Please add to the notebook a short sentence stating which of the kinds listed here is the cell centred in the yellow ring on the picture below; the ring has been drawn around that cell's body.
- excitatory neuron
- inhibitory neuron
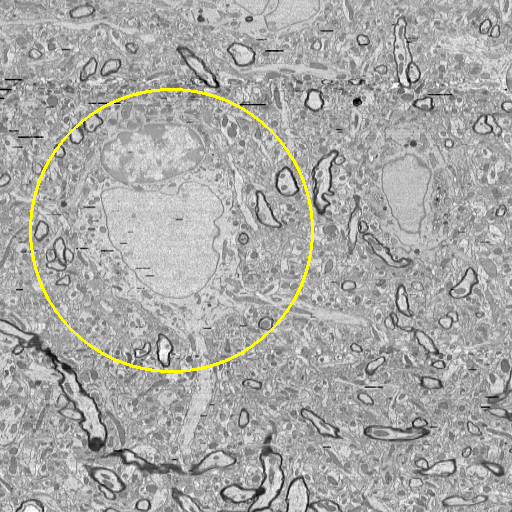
The cell centred in the yellow ring is an excitatory neuron.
